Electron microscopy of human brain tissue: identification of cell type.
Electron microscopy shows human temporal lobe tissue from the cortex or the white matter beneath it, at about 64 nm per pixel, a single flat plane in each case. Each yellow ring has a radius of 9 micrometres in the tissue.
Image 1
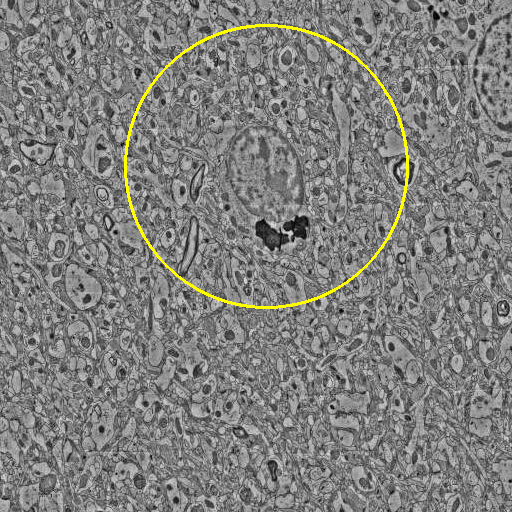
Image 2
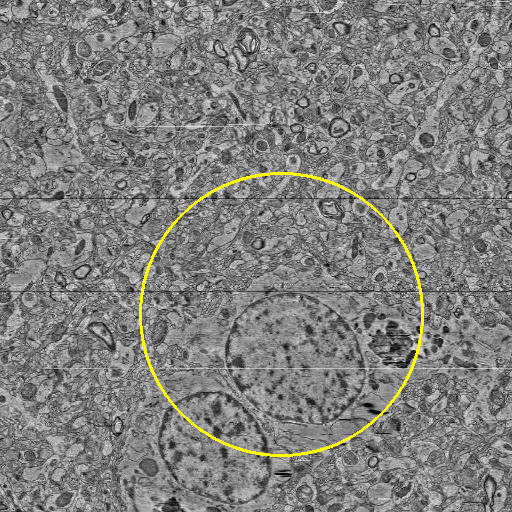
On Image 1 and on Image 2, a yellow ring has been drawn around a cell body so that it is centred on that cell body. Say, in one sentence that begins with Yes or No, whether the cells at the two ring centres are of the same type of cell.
No, the two cells are two separate types of cell.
